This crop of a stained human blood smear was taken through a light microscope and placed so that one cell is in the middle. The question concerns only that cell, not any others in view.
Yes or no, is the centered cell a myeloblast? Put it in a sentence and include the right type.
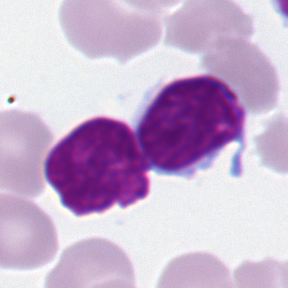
Yes, the cell shown in the middle is a myeloblast.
